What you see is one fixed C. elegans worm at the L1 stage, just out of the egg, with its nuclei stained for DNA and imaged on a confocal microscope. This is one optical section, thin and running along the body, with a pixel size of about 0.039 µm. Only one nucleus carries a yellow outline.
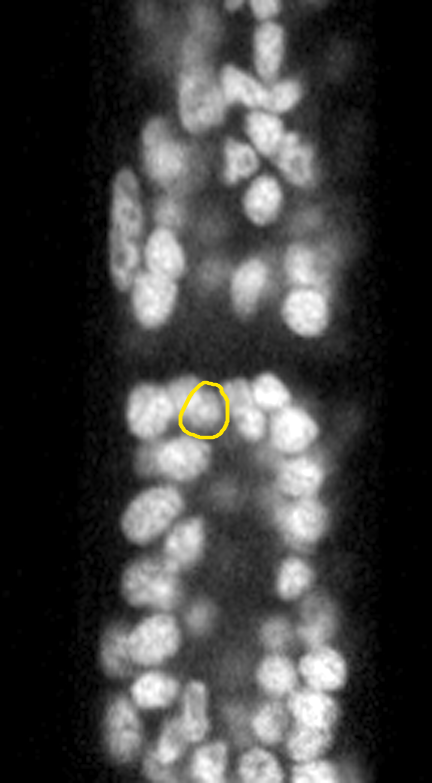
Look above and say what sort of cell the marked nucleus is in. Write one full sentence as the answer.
The marked nucleus belongs to a neuron.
